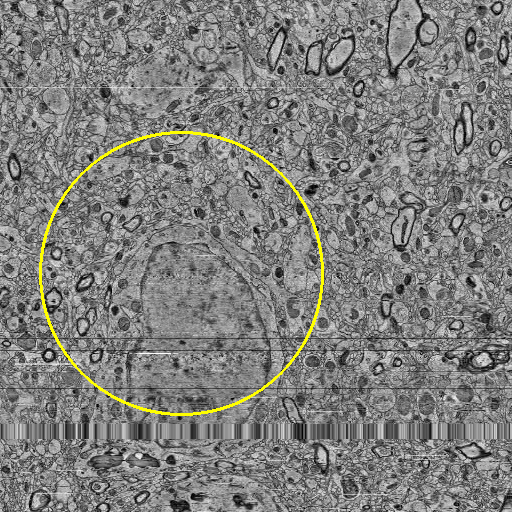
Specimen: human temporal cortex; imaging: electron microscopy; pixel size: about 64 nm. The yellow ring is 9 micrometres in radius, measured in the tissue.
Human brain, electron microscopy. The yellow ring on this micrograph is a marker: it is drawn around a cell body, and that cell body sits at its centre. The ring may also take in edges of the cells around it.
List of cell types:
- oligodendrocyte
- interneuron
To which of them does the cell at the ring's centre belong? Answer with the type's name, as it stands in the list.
interneuron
